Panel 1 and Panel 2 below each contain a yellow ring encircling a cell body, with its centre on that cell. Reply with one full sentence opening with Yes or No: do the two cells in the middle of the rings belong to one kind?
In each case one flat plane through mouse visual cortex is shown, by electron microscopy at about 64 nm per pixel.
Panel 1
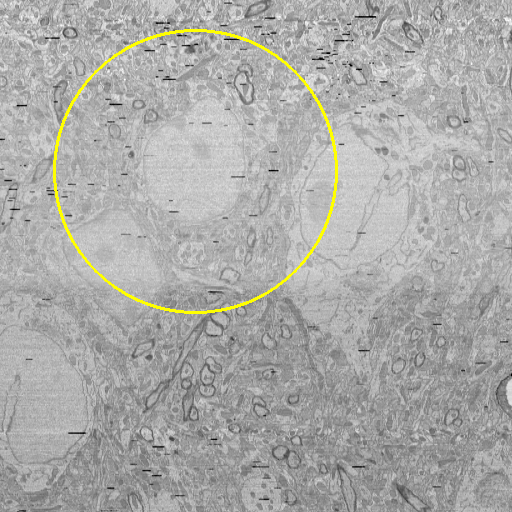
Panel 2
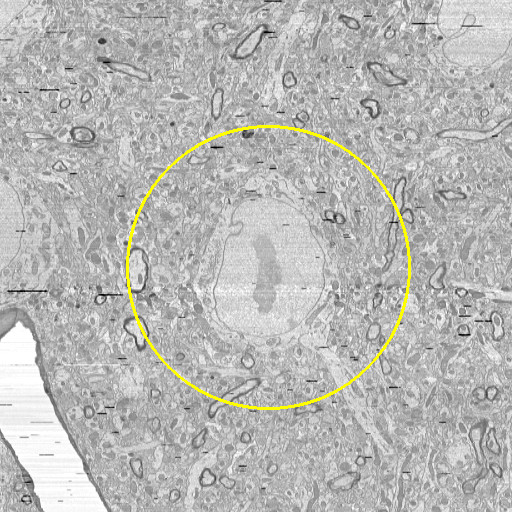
No, the cells at the middle of the Panel 1 ring and the Panel 2 ring are of two kinds.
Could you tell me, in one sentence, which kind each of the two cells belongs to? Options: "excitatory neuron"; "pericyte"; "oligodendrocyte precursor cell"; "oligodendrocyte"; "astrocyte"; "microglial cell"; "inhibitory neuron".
At the centre of the first ring sits an astrocyte, and at the centre of the second sits an excitatory neuron.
